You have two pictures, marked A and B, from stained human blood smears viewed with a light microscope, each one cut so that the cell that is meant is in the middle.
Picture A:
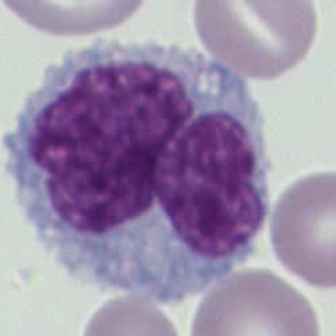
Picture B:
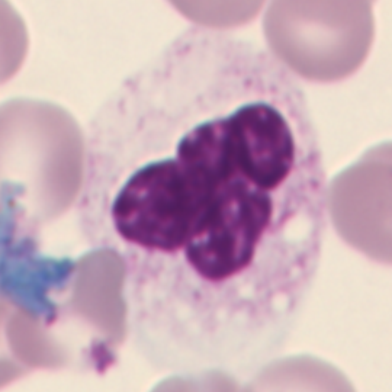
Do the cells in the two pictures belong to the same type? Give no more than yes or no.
no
